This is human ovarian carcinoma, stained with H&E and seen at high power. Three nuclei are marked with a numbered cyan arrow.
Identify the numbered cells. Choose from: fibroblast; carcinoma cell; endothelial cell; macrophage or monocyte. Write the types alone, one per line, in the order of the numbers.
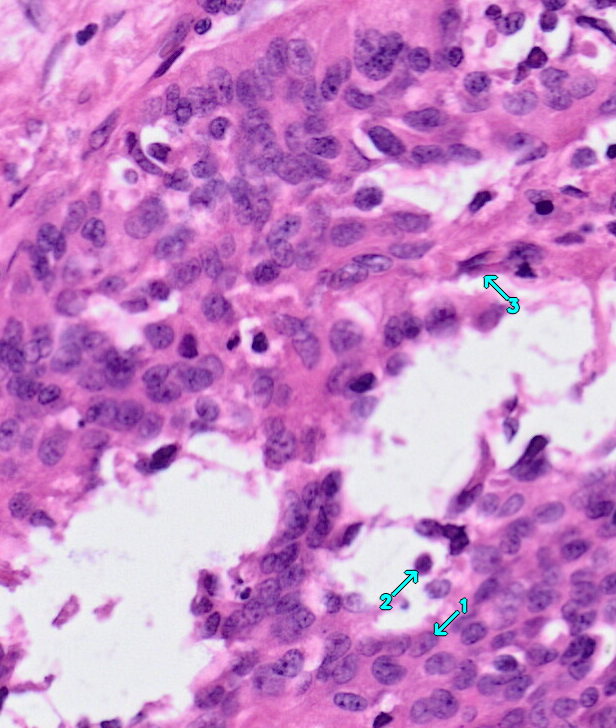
carcinoma cell
carcinoma cell
endothelial cell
